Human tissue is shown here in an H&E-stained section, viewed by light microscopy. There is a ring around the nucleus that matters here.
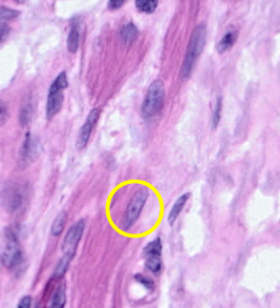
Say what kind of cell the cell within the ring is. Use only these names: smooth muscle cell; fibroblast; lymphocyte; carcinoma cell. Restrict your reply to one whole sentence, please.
In this tissue section, the cell within the ring is to be classed as a smooth muscle cell.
